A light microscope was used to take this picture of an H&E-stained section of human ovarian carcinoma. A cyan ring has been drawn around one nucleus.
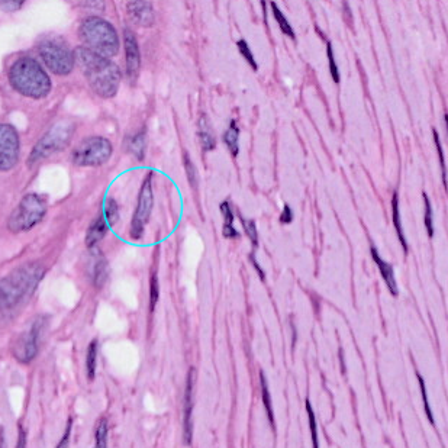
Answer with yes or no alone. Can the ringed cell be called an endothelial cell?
no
